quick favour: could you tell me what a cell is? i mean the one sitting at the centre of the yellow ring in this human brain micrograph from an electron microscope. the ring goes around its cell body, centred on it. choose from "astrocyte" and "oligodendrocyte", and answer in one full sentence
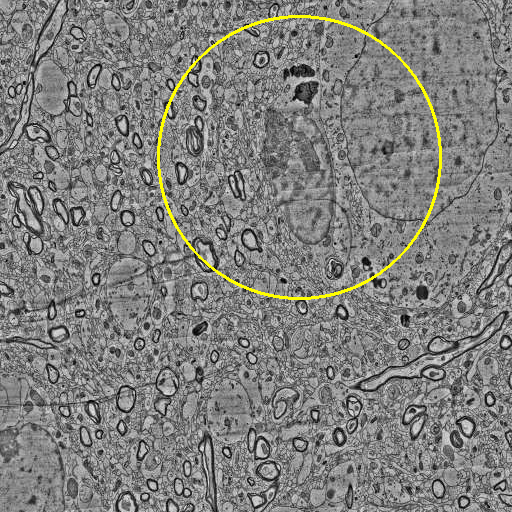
That's an oligodendrocyte, the cell sitting at the centre of the yellow ring.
